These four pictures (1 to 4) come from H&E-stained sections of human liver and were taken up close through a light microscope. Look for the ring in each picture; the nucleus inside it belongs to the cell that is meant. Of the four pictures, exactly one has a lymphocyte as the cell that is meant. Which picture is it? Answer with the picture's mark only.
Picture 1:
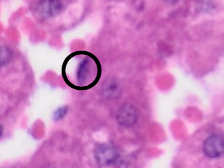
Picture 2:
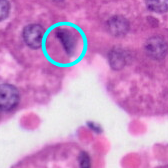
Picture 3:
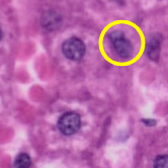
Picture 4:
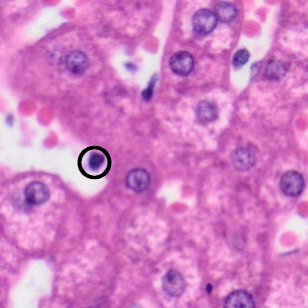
4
